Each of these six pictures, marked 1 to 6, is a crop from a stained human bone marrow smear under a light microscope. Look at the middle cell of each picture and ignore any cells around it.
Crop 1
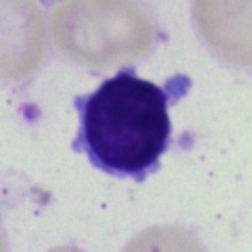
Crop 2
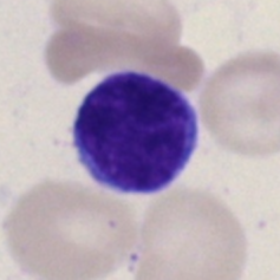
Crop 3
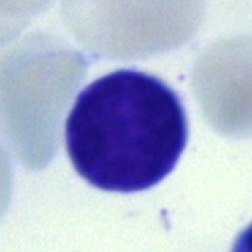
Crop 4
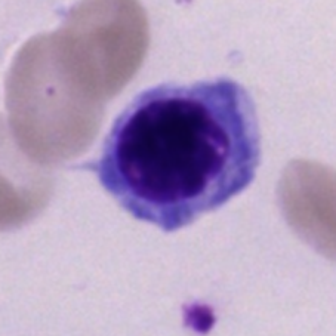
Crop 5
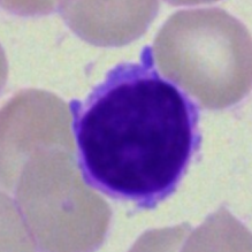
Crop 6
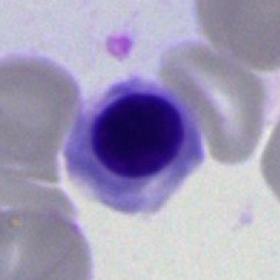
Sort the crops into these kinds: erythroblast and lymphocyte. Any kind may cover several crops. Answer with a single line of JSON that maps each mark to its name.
{"1": "lymphocyte", "2": "lymphocyte", "3": "lymphocyte", "4": "erythroblast", "5": "lymphocyte", "6": "erythroblast"}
